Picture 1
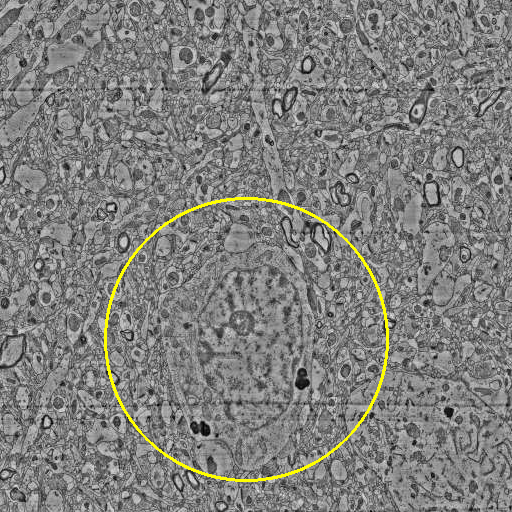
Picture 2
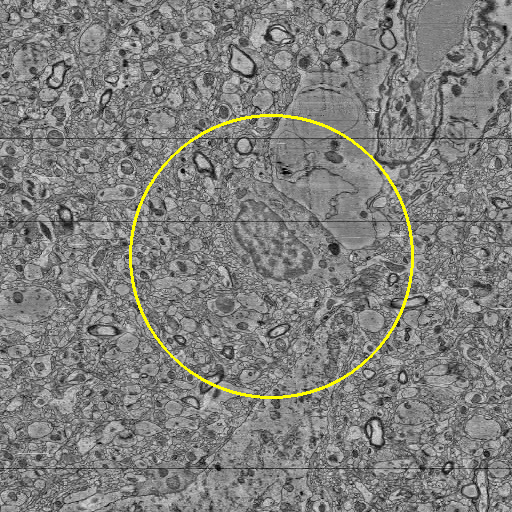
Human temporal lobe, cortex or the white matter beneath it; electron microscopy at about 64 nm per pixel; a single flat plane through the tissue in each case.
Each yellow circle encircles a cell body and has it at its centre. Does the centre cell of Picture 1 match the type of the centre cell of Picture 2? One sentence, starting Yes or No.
No, the cell centred in Picture 1 and the one in Picture 2 have separate types.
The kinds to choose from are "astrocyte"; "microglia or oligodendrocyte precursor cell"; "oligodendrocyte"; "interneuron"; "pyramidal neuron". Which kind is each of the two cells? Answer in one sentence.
Of the two, the first cell is an interneuron and the second cell is an oligodendrocyte.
